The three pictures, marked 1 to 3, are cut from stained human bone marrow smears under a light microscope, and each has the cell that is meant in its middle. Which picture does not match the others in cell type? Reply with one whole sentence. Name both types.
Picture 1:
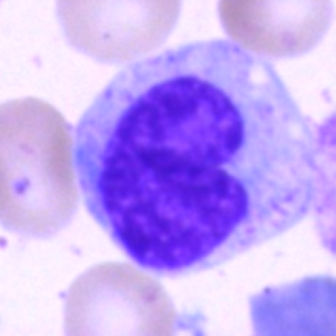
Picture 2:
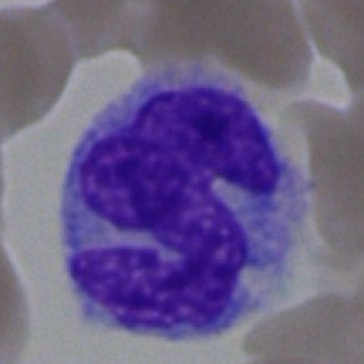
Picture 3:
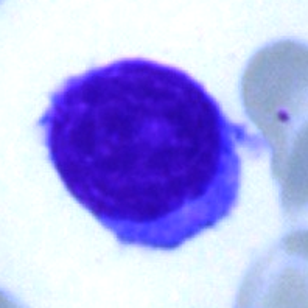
Picture 3 is the odd one out: it shows a lymphocyte, while the others show monocytes.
